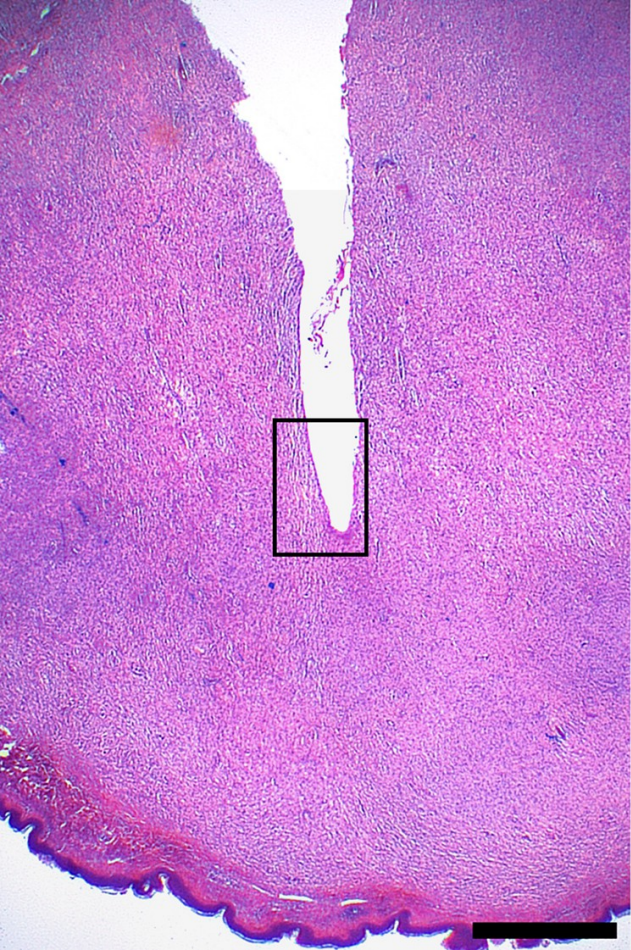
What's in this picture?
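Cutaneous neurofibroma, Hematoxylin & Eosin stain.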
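At low power the section shows a broad tumor of uniform cell density occupying the dermis and reaching up to the tissue just beneath the thin epidermis along the bottom edge. A narrow empty cleft runs from the top into the middle of the tumor and ends in a blunt tip.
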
